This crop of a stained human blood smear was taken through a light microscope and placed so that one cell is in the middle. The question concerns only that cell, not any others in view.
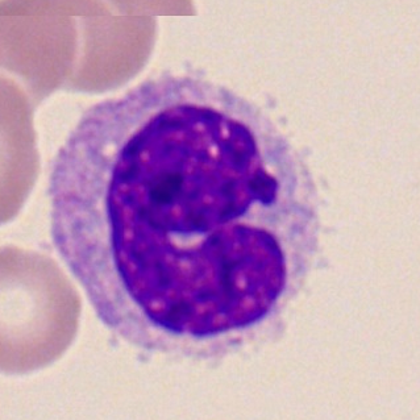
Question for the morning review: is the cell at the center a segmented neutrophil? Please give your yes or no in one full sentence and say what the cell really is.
No, the cell in the middle should be called a monocyte instead of a segmented neutrophil.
